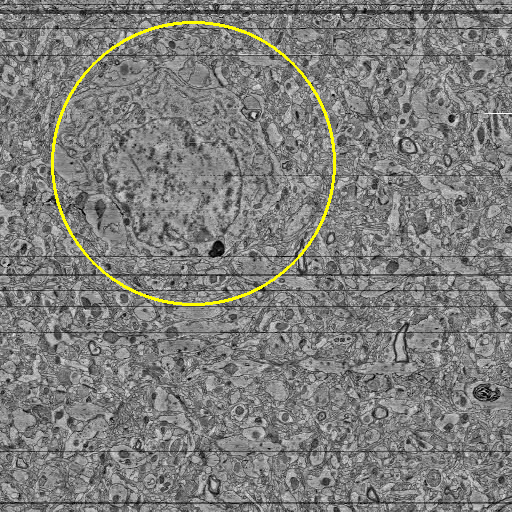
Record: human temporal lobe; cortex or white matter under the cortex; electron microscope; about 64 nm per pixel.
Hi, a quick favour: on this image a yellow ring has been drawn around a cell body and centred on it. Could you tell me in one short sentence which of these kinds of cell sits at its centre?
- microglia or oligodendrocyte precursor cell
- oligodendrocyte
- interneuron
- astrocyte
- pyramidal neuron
The ring is centred on an interneuron.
